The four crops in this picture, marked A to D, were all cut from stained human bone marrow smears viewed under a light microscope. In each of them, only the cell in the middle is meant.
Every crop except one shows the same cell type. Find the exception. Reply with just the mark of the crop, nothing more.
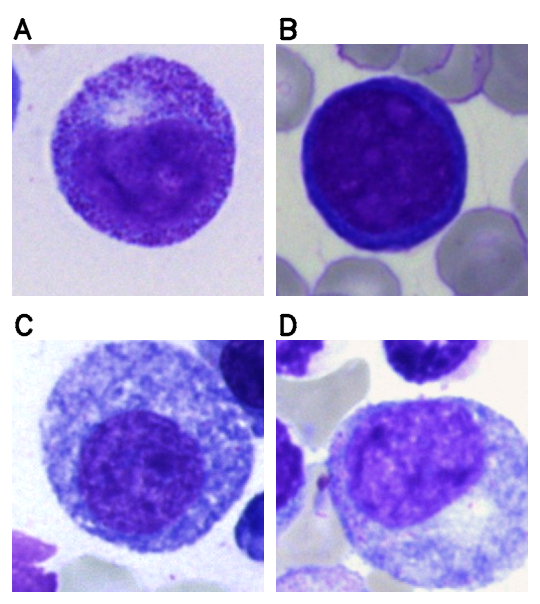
B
